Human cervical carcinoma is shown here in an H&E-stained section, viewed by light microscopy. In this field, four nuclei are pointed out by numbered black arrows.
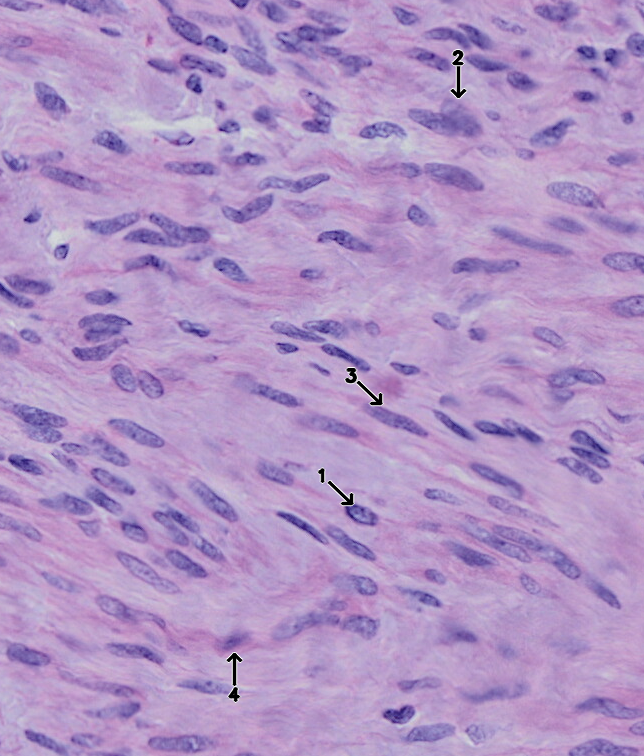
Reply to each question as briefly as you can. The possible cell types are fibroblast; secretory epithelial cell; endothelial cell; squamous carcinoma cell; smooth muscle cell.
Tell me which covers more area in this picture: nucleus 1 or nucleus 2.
2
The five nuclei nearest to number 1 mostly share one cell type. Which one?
smooth muscle cell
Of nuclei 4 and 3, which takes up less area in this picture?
4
